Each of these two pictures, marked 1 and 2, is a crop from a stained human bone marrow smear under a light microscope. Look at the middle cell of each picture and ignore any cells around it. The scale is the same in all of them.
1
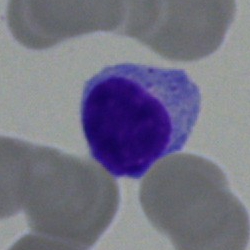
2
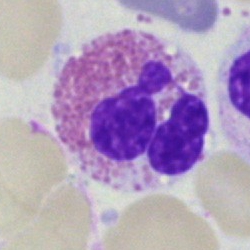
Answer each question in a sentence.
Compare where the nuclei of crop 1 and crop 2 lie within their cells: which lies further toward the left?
Seen within its cell, the nucleus in crop 1 lies further toward the left.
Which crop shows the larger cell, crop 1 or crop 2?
The cell in crop 2 is larger, with about 2 times the area of the one in crop 1.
